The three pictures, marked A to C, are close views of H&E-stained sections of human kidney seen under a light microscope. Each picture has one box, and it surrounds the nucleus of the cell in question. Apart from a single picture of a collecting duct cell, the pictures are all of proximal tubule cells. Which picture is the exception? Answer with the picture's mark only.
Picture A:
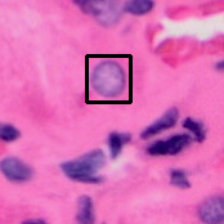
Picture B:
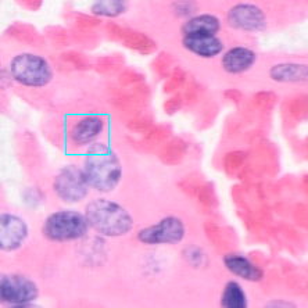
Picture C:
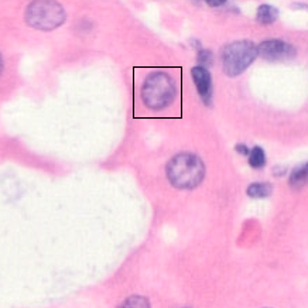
B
